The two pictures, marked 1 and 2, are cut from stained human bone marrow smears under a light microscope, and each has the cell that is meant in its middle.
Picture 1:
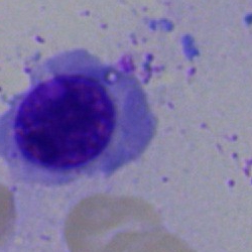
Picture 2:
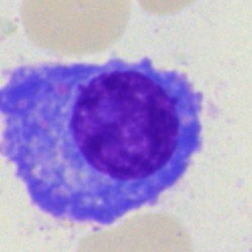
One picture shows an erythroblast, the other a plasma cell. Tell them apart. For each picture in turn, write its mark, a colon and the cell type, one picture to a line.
1: erythroblast
2: plasma cell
